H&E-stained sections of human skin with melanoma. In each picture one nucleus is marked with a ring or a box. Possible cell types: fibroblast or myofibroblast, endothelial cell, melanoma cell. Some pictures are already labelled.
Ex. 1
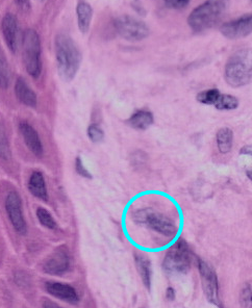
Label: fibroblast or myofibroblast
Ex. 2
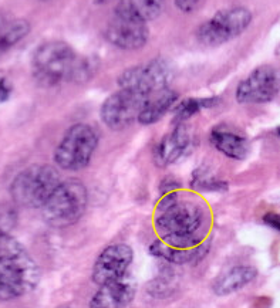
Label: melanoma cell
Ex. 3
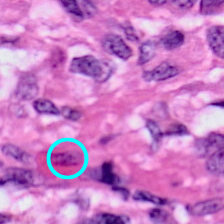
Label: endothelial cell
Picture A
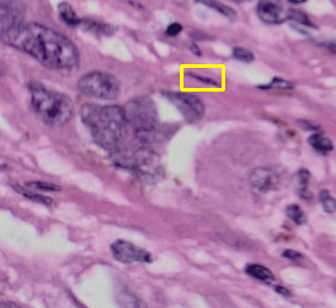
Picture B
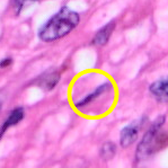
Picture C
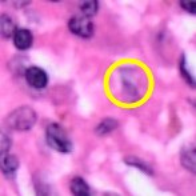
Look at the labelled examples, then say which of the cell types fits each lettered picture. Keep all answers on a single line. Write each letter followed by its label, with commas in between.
A fibroblast or myofibroblast, B fibroblast or myofibroblast, C fibroblast or myofibroblast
